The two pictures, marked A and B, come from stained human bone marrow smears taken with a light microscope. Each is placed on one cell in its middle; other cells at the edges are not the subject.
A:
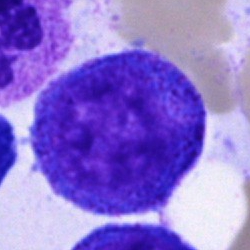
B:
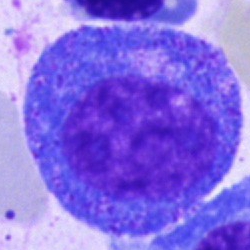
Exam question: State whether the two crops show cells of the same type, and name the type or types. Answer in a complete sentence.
Yes, both crops alike show promyelocytes at the centre.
